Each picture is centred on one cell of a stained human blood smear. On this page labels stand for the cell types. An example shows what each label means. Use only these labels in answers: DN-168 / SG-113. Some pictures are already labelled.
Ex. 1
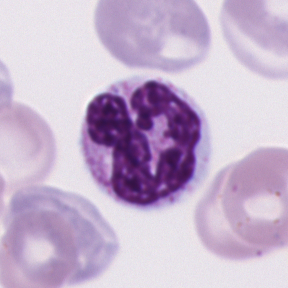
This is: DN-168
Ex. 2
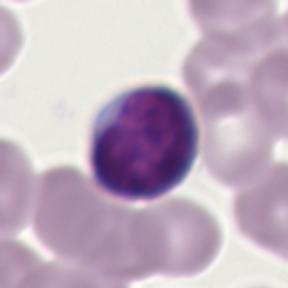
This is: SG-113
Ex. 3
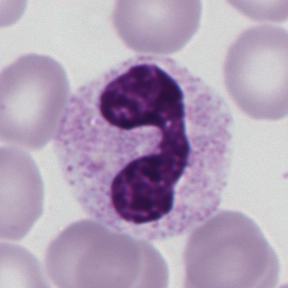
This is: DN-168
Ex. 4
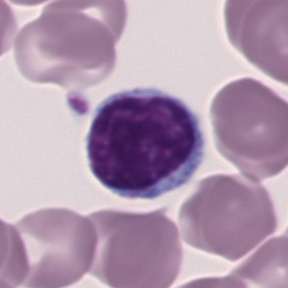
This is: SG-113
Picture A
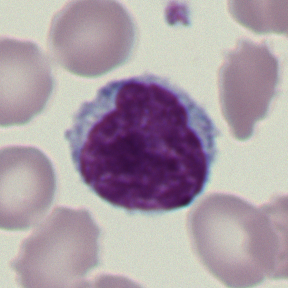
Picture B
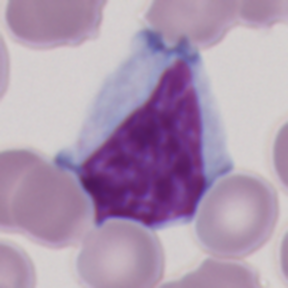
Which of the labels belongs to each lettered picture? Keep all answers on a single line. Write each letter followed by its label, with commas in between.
A SG-113, B SG-113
